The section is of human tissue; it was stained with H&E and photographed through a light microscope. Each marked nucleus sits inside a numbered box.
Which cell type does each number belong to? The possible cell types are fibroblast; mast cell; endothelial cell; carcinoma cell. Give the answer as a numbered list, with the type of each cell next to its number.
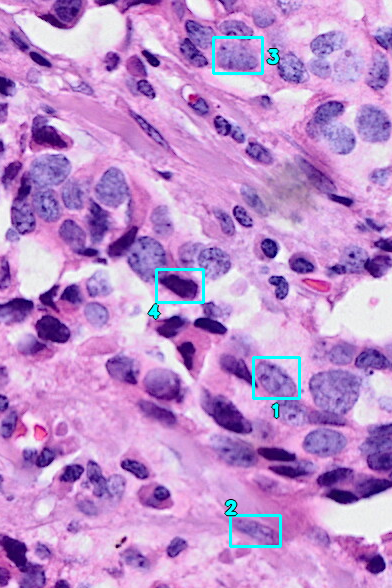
1. carcinoma cell
2. fibroblast
3. carcinoma cell
4. carcinoma cell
